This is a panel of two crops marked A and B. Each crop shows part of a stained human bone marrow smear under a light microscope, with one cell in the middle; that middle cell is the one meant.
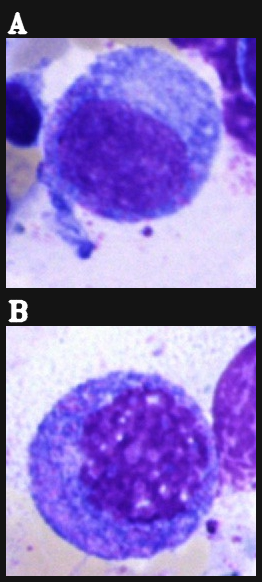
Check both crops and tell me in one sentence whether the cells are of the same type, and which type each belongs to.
Yes, the cells in both crops are promyelocytes.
